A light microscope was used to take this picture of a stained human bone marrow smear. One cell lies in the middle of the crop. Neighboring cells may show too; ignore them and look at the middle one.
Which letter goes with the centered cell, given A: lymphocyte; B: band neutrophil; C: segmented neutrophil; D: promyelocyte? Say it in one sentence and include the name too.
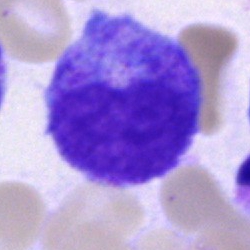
That the central cell is a promyelocyte makes option D correct.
